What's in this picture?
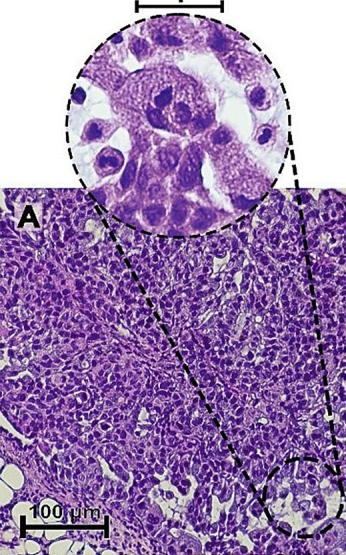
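The section shows a dense sheet of closely packed tumor cells with purple nuclei, and a few empty round fat cells at the lower left. In the inset the cells are large, with round to oval nuclei, visible nucleoli and abundant pink granular cytoplasm.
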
